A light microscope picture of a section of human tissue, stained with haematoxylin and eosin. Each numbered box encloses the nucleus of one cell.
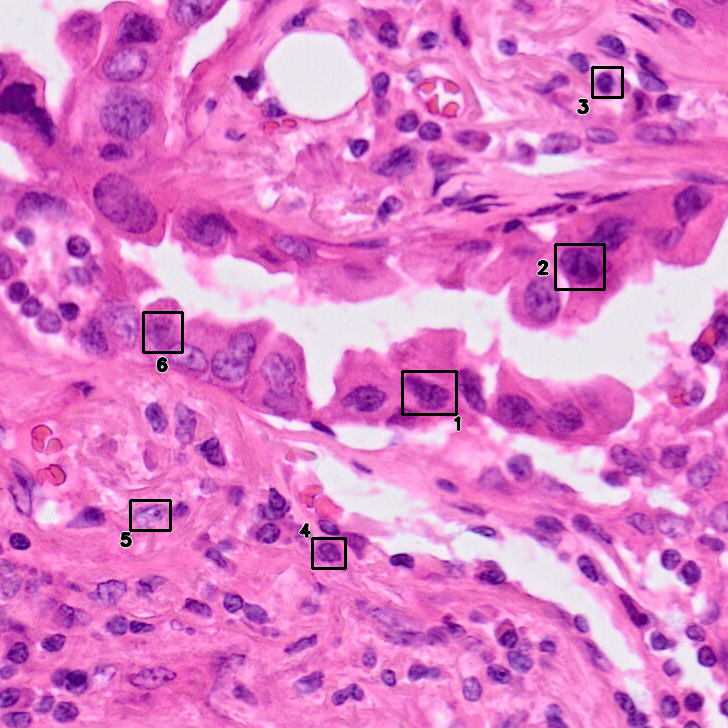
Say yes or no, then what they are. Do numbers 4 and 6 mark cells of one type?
No, the cell numbered 4 is a plasma cell, and the cell numbered 6 is a carcinoma cell.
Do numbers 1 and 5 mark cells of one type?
No, cell 1 is a carcinoma cell, and in contrast cell 5 is a fibroblast.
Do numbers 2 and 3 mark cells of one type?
No, a plasma cell is what cell 3 is, while cell 2 is a carcinoma cell.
